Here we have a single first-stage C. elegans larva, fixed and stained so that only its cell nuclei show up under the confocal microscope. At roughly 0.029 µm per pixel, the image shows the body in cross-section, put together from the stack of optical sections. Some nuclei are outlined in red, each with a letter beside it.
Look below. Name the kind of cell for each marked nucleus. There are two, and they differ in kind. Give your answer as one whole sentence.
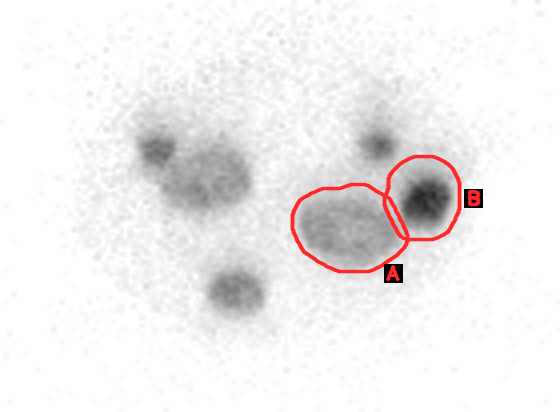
A is in an intestinal cell and B is in a neuron.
